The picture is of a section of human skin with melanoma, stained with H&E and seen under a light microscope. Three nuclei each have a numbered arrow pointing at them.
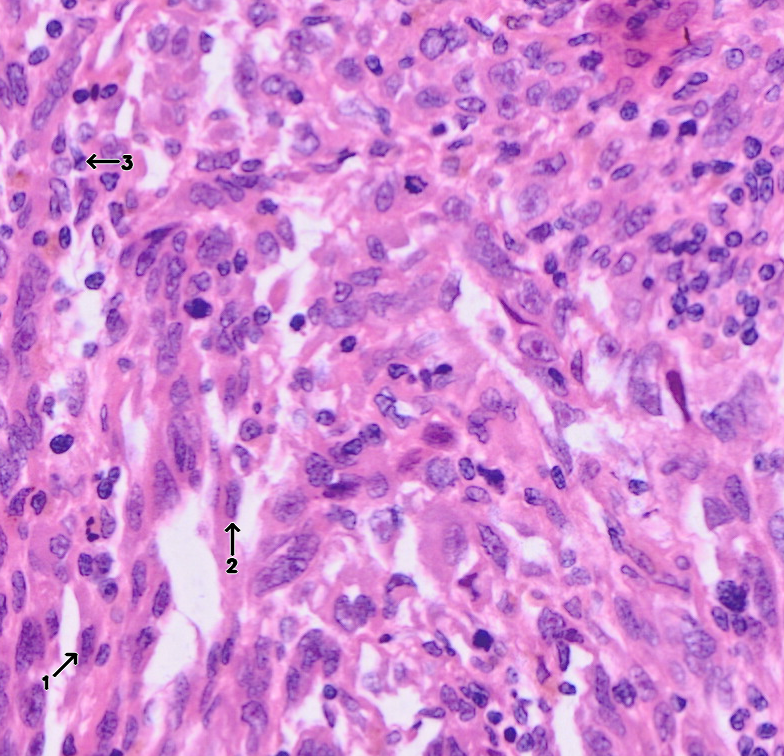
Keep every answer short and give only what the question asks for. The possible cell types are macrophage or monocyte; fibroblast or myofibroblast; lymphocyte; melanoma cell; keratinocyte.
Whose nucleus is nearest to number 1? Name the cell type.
lymphocyte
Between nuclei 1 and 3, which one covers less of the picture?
3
